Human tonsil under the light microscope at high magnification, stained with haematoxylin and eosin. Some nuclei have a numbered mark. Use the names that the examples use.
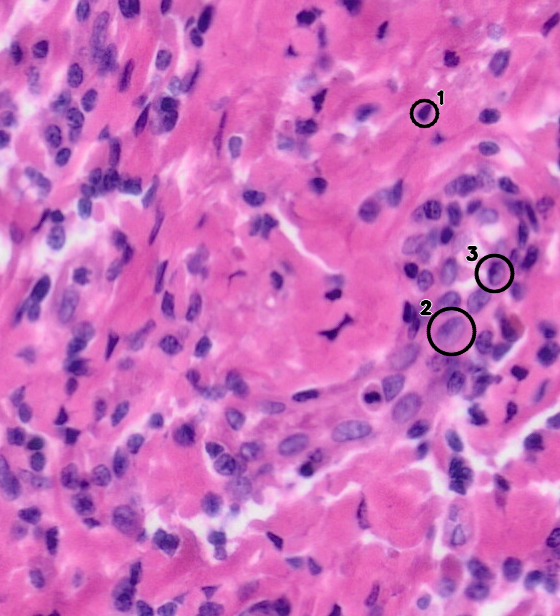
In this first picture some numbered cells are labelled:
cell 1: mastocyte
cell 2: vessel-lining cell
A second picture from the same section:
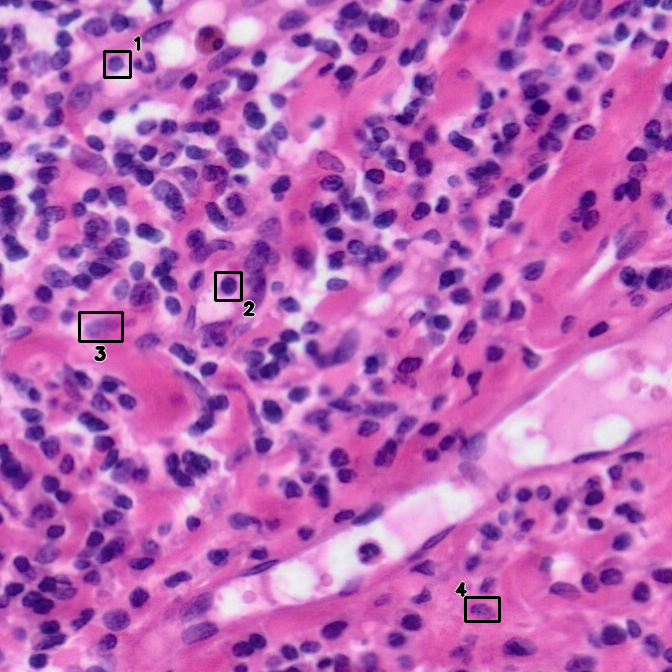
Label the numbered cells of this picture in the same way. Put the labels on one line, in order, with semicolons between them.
vessel-lining cell; vessel-lining cell; vessel-lining cell; mastocyte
